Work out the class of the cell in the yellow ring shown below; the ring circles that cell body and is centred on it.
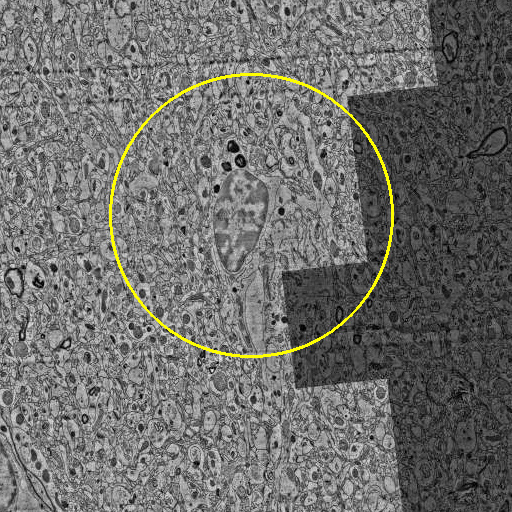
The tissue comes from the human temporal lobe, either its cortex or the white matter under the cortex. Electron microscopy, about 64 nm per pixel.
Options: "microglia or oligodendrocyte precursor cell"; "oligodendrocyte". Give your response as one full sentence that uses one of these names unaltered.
The body ringed in yellow, right at the ring's centre, is that of a microglial cell or oligodendrocyte precursor cell.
